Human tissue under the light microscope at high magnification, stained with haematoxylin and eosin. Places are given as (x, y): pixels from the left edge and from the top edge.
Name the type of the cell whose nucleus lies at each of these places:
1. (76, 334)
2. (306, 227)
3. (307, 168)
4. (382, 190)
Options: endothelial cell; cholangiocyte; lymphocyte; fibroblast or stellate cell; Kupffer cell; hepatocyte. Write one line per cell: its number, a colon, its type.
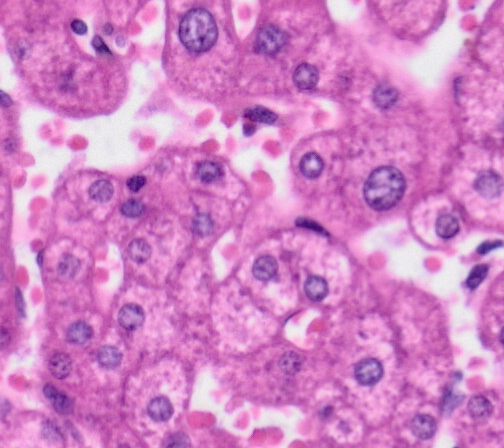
1: hepatocyte
2: fibroblast or stellate cell
3: hepatocyte
4: hepatocyte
